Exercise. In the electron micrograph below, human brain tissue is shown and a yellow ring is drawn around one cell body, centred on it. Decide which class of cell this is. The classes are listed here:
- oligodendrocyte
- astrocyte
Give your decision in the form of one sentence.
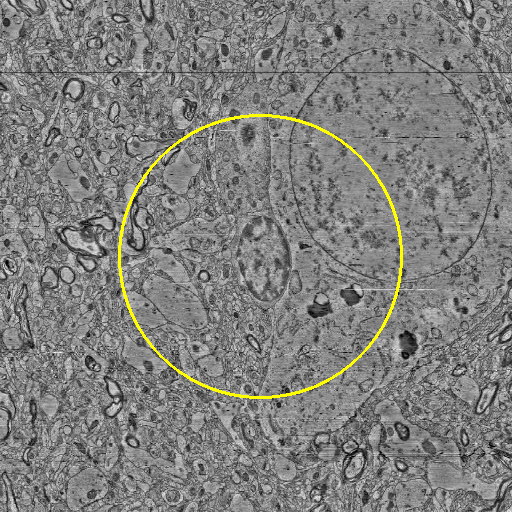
The cell body marked by the ring belongs to an oligodendrocyte.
